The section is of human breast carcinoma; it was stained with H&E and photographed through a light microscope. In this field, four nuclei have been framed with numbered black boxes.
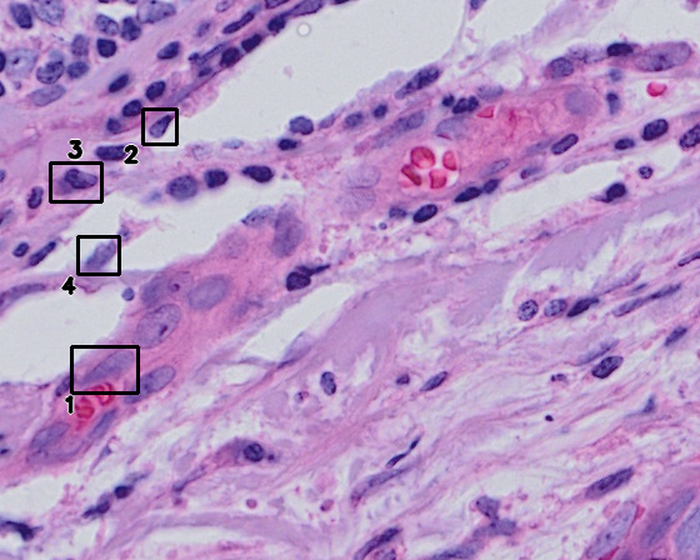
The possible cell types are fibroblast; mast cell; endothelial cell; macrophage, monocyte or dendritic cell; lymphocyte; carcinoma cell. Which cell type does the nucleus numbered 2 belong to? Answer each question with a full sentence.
The cell carrying label 2 is identified as a lymphocyte.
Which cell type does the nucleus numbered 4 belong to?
The cell referenced by the number 4 is a fibroblast in this field.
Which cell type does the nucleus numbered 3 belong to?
The marked nucleus 3 is that of a lymphocyte.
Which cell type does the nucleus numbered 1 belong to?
Nucleus 1 in this section belongs to an endothelial cell.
